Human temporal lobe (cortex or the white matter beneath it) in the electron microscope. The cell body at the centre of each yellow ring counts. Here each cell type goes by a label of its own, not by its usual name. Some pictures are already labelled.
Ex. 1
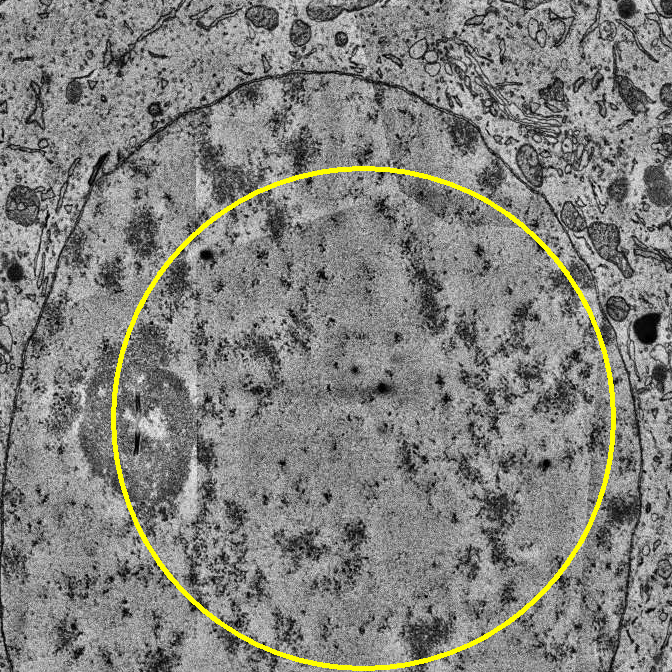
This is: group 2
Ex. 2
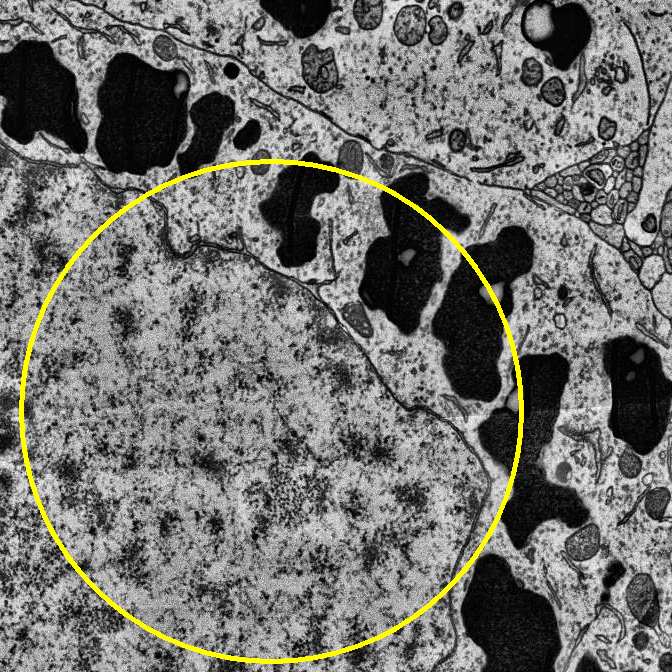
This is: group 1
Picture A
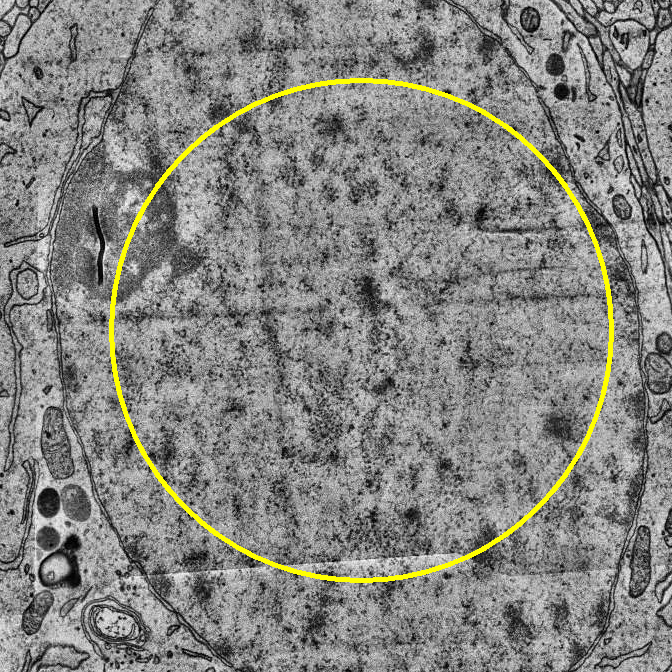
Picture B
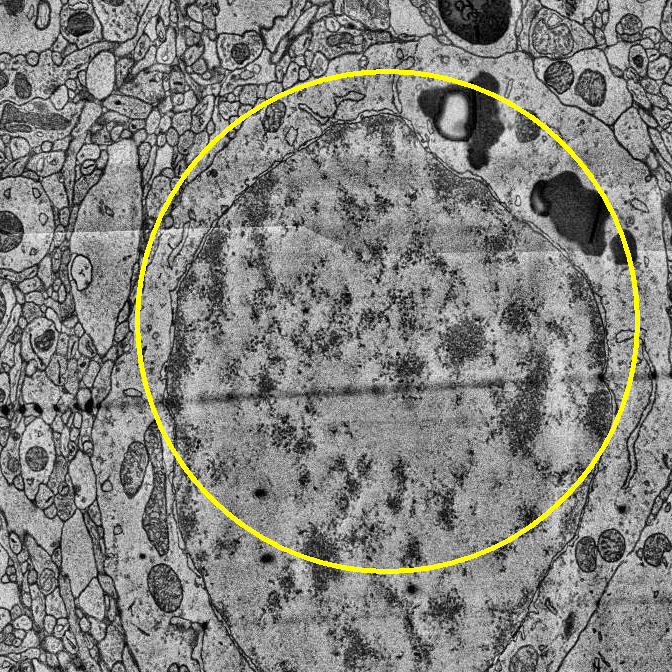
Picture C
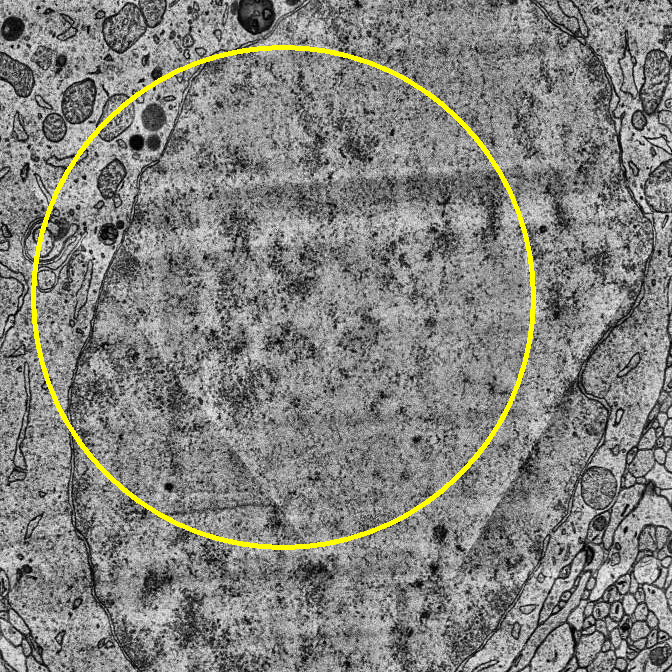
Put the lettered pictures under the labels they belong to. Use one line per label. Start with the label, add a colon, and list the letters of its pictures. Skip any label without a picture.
group 1: A, B, C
